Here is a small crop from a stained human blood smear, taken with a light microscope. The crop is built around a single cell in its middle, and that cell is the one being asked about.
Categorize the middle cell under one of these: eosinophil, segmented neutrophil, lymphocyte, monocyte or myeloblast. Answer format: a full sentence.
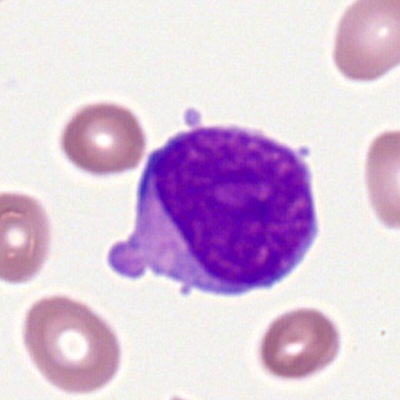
The middle cell in this particular crop is a myeloblast.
